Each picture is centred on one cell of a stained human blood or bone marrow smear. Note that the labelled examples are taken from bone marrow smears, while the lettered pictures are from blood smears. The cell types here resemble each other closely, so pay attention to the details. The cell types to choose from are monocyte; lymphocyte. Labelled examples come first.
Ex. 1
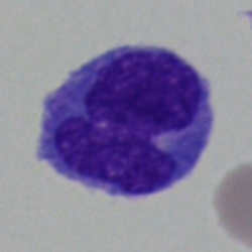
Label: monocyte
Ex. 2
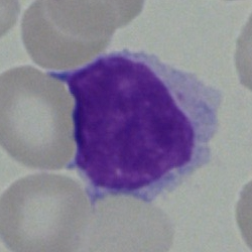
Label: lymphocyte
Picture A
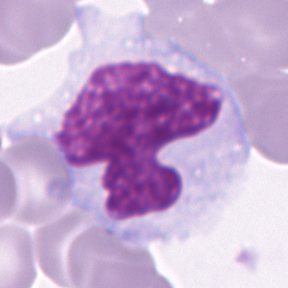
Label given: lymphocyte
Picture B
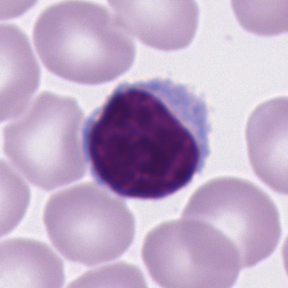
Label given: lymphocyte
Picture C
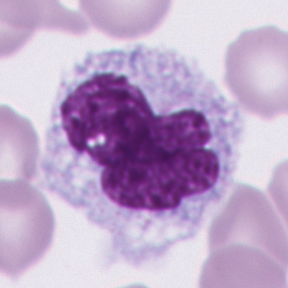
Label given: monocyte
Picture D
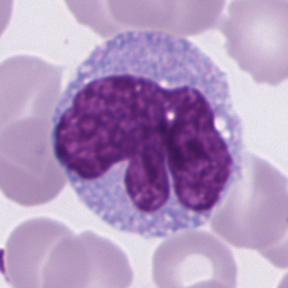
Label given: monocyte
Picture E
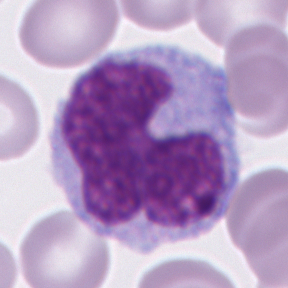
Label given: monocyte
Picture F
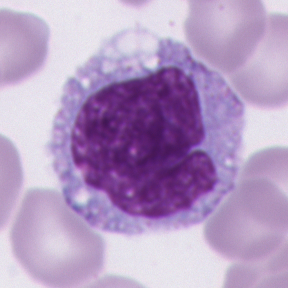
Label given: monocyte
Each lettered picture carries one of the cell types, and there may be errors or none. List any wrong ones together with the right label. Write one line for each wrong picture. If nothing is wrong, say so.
Wrong: A (lymphocyte); correct: monocyte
